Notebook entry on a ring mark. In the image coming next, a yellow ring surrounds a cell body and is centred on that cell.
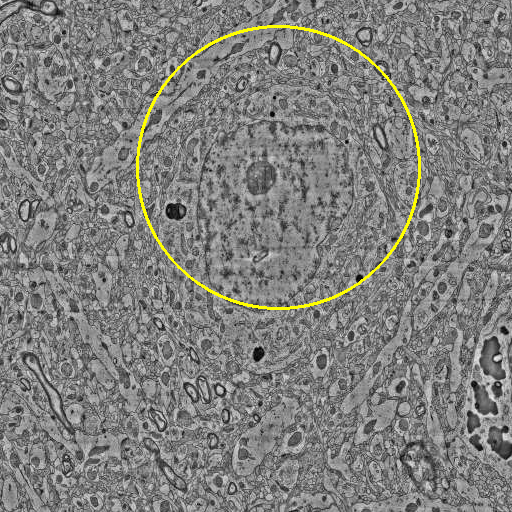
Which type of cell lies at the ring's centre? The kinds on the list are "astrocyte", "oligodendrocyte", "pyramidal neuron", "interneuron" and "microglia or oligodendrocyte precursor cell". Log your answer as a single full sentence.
Centred in the yellow ring is an interneuron, the cell recorded for this image.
